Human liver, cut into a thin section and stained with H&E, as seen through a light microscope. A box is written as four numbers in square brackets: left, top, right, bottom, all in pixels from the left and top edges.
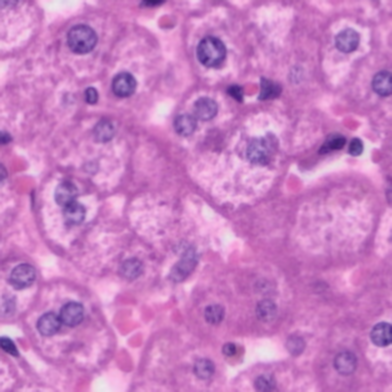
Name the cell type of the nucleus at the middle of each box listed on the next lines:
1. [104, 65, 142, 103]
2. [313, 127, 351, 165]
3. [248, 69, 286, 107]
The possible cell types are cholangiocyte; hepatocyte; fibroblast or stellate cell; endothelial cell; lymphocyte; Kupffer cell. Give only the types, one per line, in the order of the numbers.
hepatocyte
Kupffer cell
endothelial cell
